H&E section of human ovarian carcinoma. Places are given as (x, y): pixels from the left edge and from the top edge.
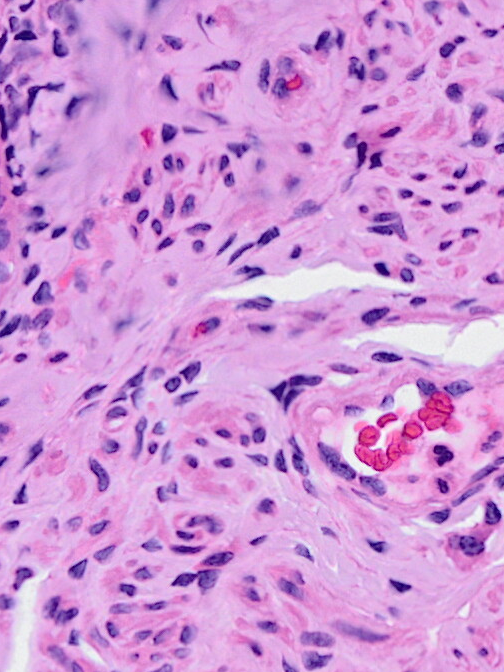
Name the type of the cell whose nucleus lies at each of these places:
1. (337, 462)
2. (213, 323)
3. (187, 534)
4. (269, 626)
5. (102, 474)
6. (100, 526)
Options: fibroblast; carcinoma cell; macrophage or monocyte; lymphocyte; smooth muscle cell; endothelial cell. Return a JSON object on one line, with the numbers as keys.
{"1": "endothelial cell", "2": "endothelial cell", "3": "smooth muscle cell", "4": "smooth muscle cell", "5": "smooth muscle cell", "6": "smooth muscle cell"}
